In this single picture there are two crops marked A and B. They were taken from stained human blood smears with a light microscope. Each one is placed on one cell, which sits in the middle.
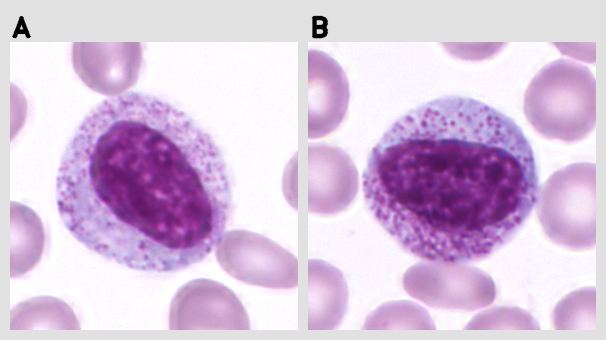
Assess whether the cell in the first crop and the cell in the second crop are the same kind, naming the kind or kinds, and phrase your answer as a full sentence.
No, crop A shows a myelocyte and crop B a metamyelocyte.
